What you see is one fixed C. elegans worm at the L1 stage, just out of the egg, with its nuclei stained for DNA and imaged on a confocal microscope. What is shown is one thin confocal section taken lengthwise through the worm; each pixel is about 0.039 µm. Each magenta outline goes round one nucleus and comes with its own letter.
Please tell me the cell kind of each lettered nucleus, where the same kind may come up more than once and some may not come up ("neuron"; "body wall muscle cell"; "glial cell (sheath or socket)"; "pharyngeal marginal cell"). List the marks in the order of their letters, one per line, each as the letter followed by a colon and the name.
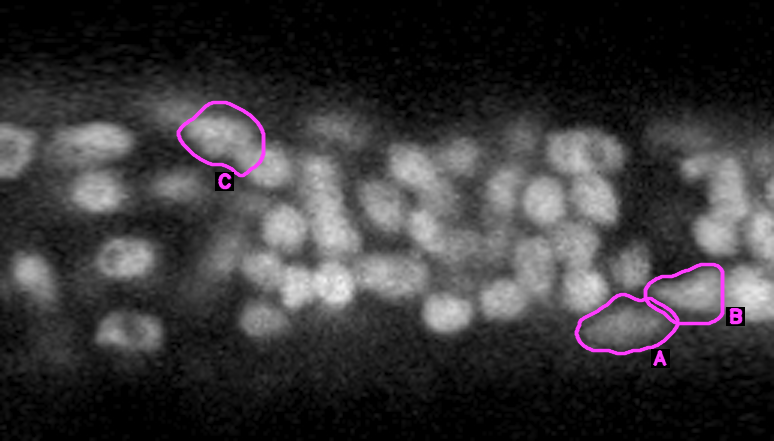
A: body wall muscle cell
B: glial cell (sheath or socket)
C: neuron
